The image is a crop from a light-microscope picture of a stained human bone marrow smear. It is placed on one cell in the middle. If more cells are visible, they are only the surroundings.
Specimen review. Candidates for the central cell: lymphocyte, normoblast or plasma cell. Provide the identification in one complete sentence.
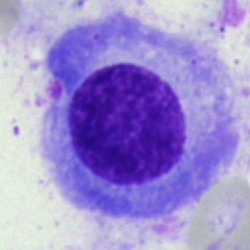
What the crop centres on is a plasma cell.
